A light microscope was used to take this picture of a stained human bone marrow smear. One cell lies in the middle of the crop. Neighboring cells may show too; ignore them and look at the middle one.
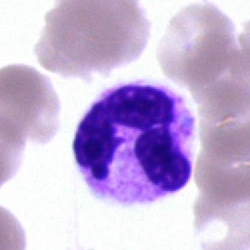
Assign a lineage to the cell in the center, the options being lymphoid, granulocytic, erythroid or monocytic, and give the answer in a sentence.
The cell occupying the center of the frame is part of the granulocytic lineage.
